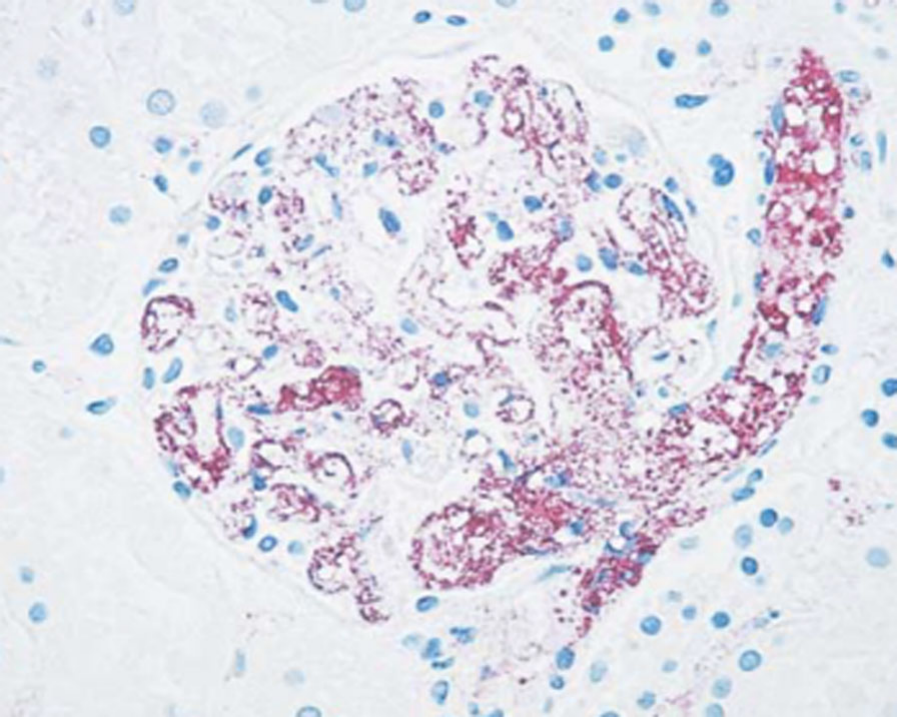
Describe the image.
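A renal glomerulus is shown, with its tuft of capillary loops lying within a thin capsule and surrounded by tubules. Granular red staining fills and outlines the lumens of the glomerular capillary loops, tracing their curved, looped outlines throughout the tuft. An elongated vessel packed with coarse red granules and small clear vacuoles extends along the right side of the glomerulus and joins the tuft below. Small oval blue nuclei are scattered among the loops, and the surrounding tubular epithelium shows round blue nuclei in pale cytoplasm with little or no red staining.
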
